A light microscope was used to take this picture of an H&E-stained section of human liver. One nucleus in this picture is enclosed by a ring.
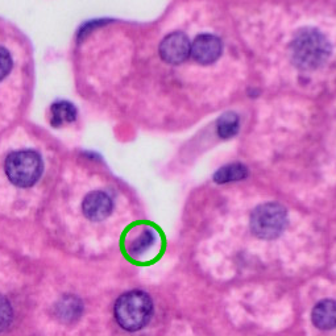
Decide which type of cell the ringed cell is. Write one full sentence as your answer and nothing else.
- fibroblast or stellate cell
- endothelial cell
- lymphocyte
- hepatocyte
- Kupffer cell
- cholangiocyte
Assigned to a cell type, the ringed cell is an endothelial cell.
